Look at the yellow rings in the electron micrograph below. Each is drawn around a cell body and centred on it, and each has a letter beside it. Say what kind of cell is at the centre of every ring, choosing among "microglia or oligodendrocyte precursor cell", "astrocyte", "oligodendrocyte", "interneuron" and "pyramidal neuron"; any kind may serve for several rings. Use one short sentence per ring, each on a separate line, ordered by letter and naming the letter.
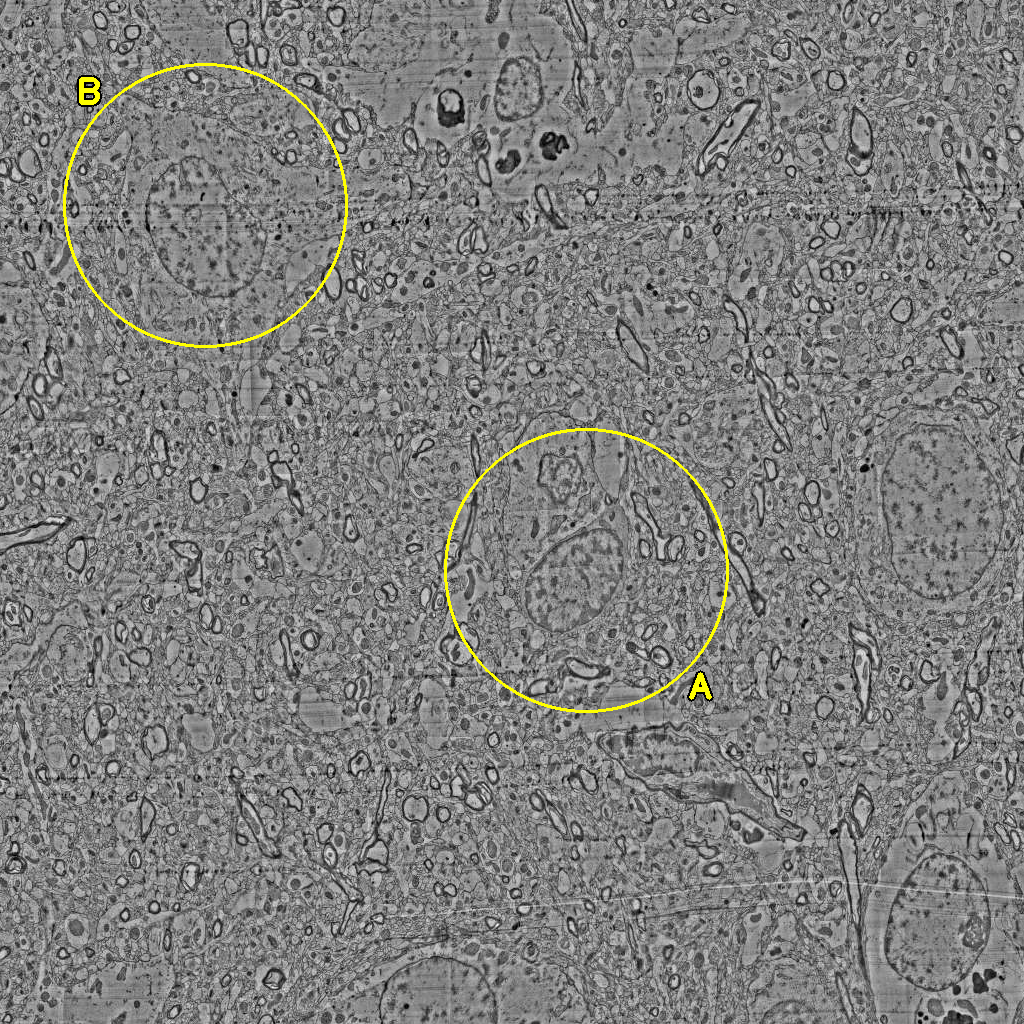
Ring A encircles an oligodendrocyte.
Ring B encircles a pyramidal neuron.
